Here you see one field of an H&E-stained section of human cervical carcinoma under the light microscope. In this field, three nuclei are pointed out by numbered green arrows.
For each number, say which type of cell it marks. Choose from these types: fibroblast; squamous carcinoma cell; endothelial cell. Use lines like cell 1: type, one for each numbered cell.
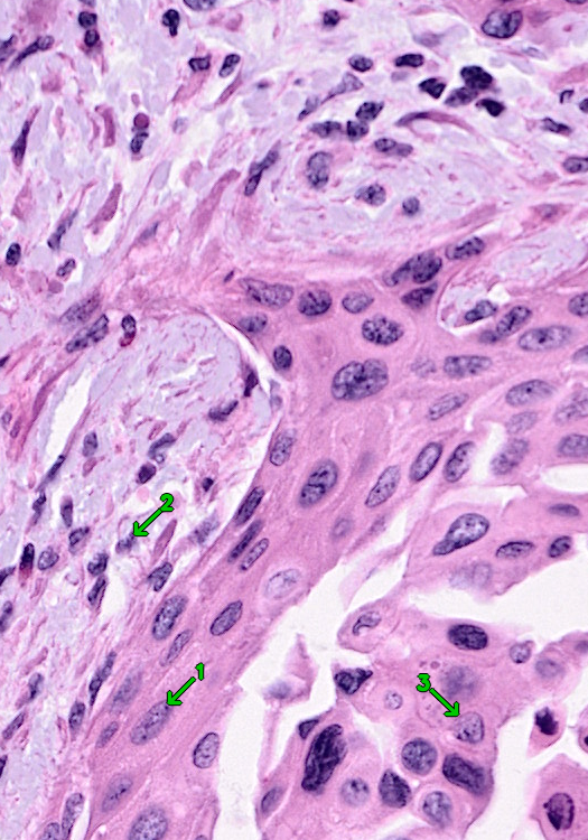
cell 1: squamous carcinoma cell
cell 2: fibroblast
cell 3: squamous carcinoma cell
